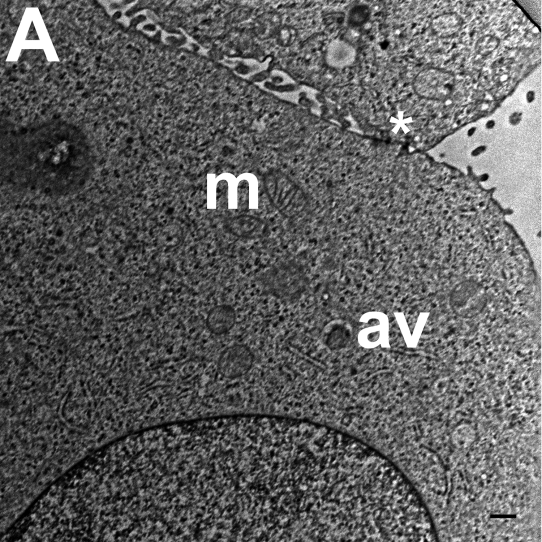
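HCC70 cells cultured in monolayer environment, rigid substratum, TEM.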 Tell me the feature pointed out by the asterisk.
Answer: Intercellular junctions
